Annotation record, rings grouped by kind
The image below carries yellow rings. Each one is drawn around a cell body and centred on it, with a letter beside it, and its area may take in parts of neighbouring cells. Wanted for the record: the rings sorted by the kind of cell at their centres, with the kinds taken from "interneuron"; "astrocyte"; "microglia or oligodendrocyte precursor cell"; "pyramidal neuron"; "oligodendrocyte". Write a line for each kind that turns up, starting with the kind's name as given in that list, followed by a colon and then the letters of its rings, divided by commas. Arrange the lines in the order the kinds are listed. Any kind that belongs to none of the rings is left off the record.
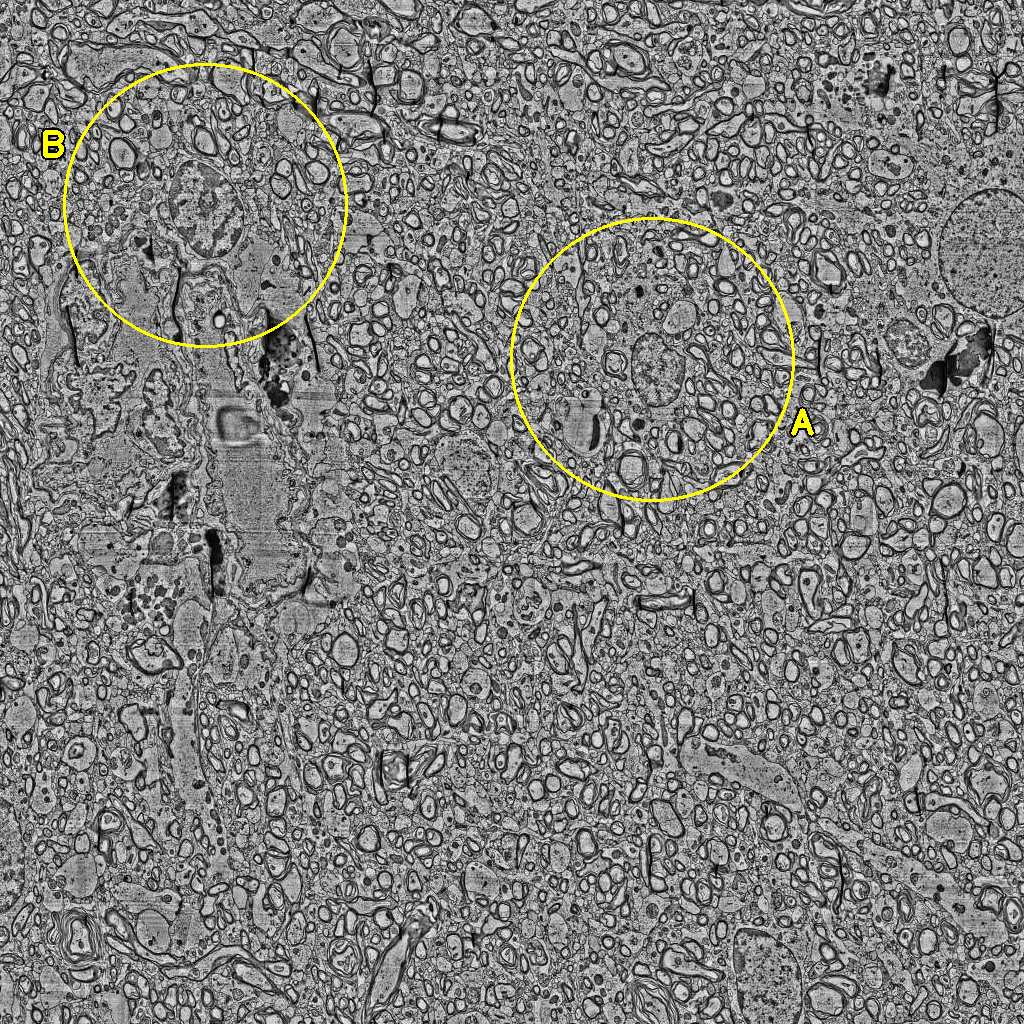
microglia or oligodendrocyte precursor cell: B
oligodendrocyte: A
